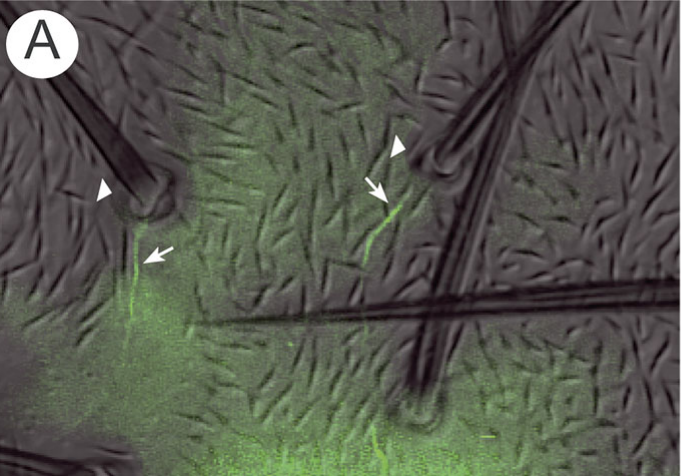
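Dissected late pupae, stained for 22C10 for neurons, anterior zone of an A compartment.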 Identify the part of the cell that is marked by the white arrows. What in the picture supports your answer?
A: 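The arrows point at thin green fluorescent threads. Each green thread starts near the base of a large bristle.
Answer: dendrites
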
